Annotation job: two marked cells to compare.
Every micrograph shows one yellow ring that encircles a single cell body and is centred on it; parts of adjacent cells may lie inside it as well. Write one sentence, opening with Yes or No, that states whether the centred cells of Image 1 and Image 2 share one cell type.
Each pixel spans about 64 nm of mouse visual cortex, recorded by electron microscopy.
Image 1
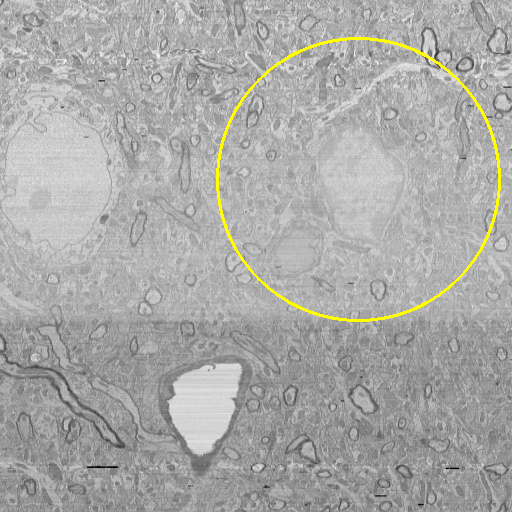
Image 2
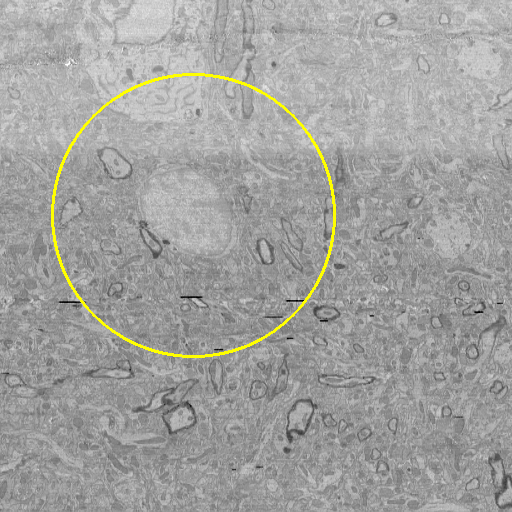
Yes, the cell centred in Image 1 shares its type with the cell centred in Image 2.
